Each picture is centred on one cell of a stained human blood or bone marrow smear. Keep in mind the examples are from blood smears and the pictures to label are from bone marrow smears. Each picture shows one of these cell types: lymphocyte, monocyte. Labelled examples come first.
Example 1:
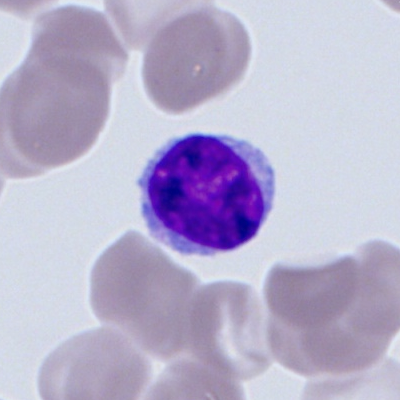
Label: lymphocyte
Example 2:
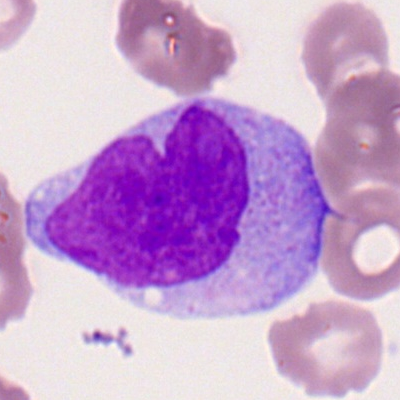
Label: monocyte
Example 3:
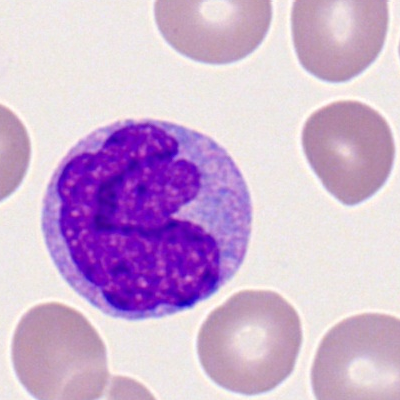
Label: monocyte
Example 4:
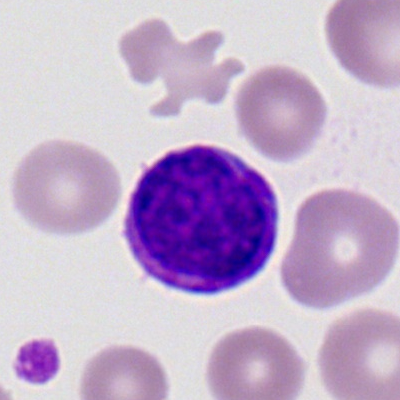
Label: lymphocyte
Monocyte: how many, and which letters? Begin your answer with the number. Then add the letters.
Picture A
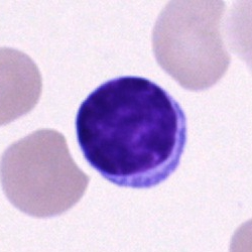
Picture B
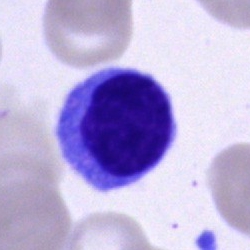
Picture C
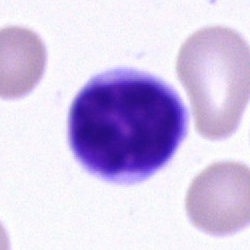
0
